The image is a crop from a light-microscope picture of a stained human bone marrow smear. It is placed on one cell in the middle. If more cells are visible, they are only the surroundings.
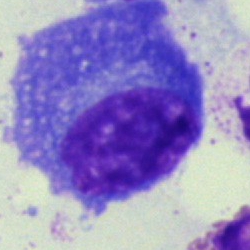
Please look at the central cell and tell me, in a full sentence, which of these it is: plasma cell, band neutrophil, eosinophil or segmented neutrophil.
The middle of this crop holds a plasma cell.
